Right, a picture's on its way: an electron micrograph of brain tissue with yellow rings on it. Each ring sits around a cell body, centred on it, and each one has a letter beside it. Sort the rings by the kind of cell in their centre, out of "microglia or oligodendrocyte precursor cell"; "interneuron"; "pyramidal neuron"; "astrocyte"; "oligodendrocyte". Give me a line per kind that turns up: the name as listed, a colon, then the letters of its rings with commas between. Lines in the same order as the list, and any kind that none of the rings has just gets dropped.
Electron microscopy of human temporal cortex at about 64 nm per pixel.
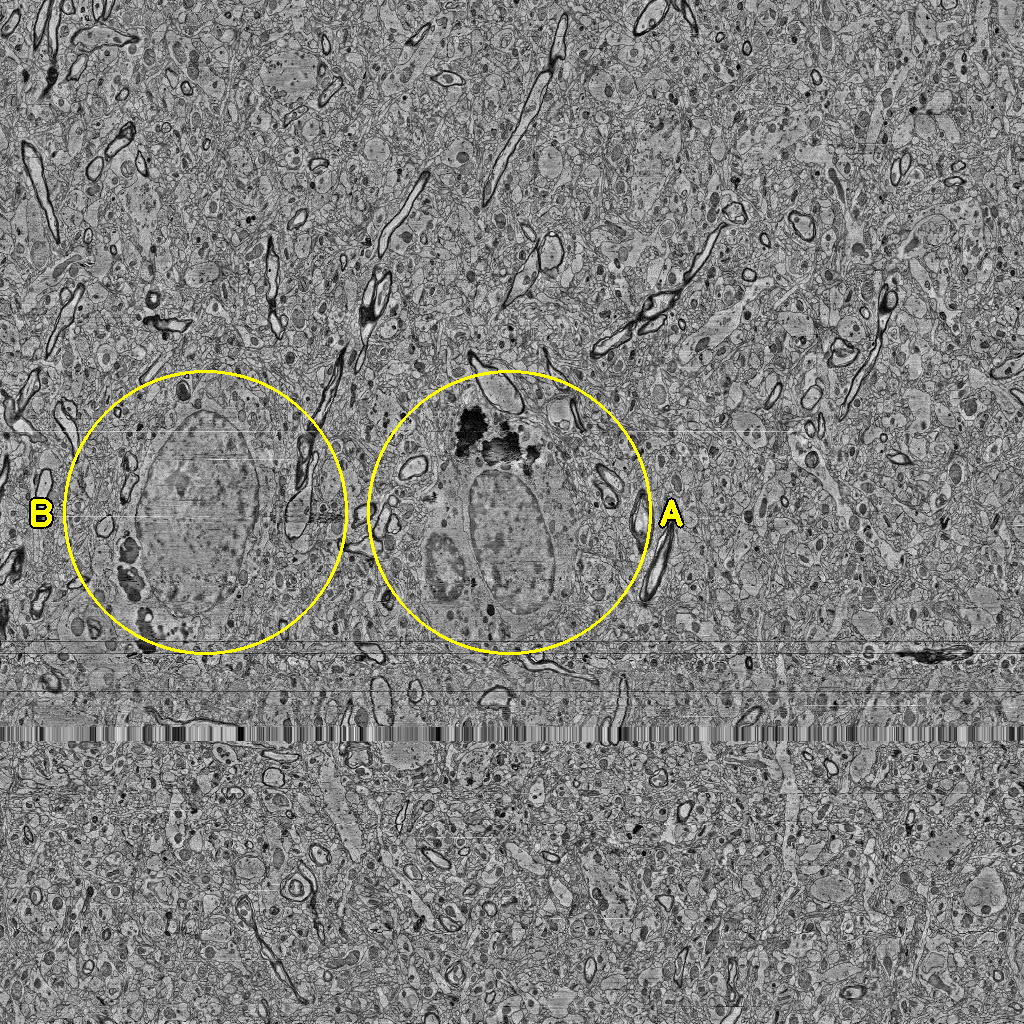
interneuron: B
oligodendrocyte: A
